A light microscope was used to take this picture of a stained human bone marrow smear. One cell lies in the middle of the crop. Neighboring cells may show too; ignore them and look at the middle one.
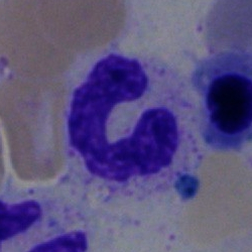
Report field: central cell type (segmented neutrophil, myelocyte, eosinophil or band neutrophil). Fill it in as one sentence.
In the centre of this crop there is a band neutrophil.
